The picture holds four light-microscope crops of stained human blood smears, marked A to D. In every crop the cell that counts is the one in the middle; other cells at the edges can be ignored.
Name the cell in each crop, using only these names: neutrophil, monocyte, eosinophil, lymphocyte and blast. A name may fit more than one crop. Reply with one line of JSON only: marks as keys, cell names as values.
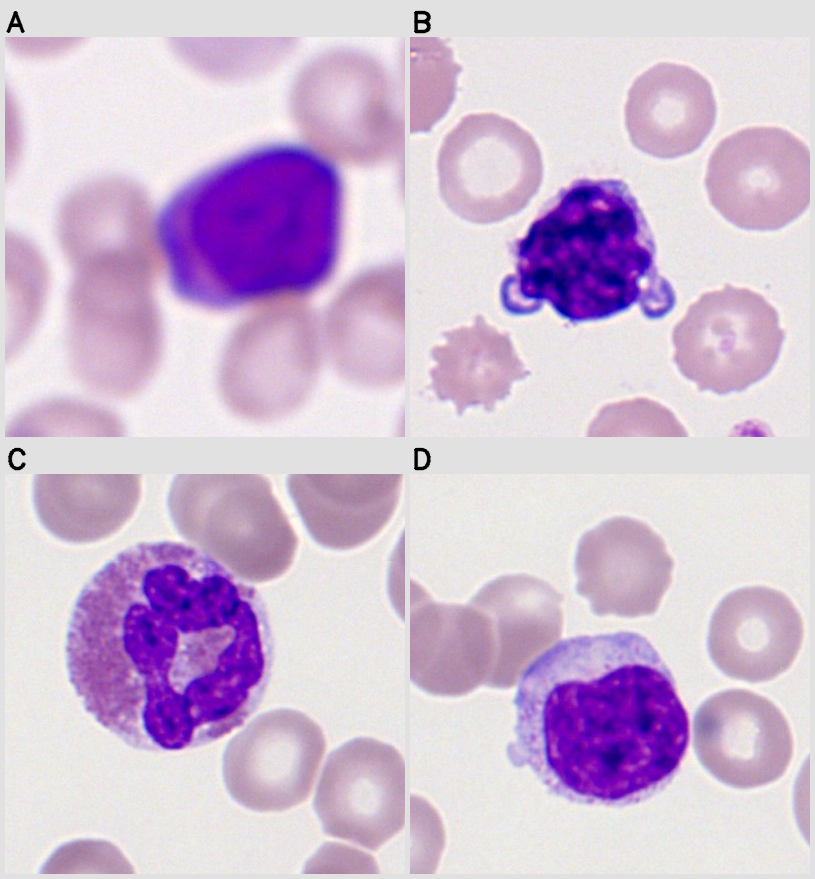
{"A": "blast", "B": "lymphocyte", "C": "eosinophil", "D": "lymphocyte"}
